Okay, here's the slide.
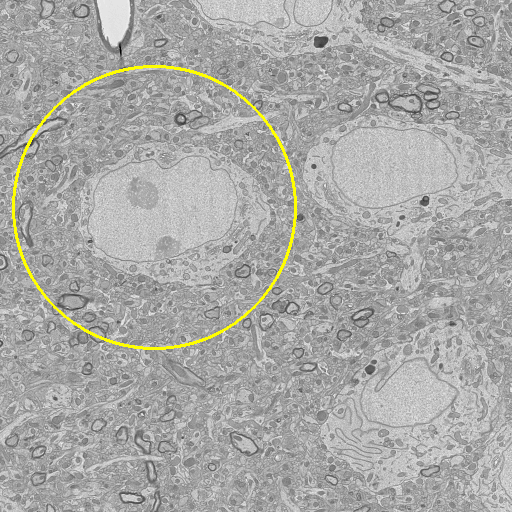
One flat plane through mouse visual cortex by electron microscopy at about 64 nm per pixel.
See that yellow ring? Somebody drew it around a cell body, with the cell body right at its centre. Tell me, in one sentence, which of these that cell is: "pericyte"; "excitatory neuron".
The cell in the middle of the ring is an excitatory neuron.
